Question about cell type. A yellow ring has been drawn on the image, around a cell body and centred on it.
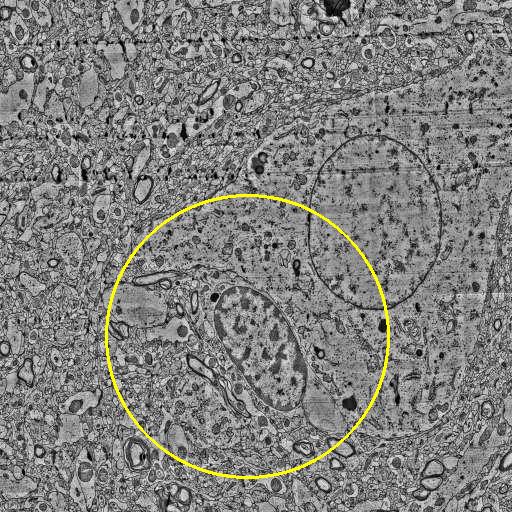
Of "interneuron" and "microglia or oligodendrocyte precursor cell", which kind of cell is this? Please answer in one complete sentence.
At the centre of the ring lies a microglial cell or oligodendrocyte precursor cell.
